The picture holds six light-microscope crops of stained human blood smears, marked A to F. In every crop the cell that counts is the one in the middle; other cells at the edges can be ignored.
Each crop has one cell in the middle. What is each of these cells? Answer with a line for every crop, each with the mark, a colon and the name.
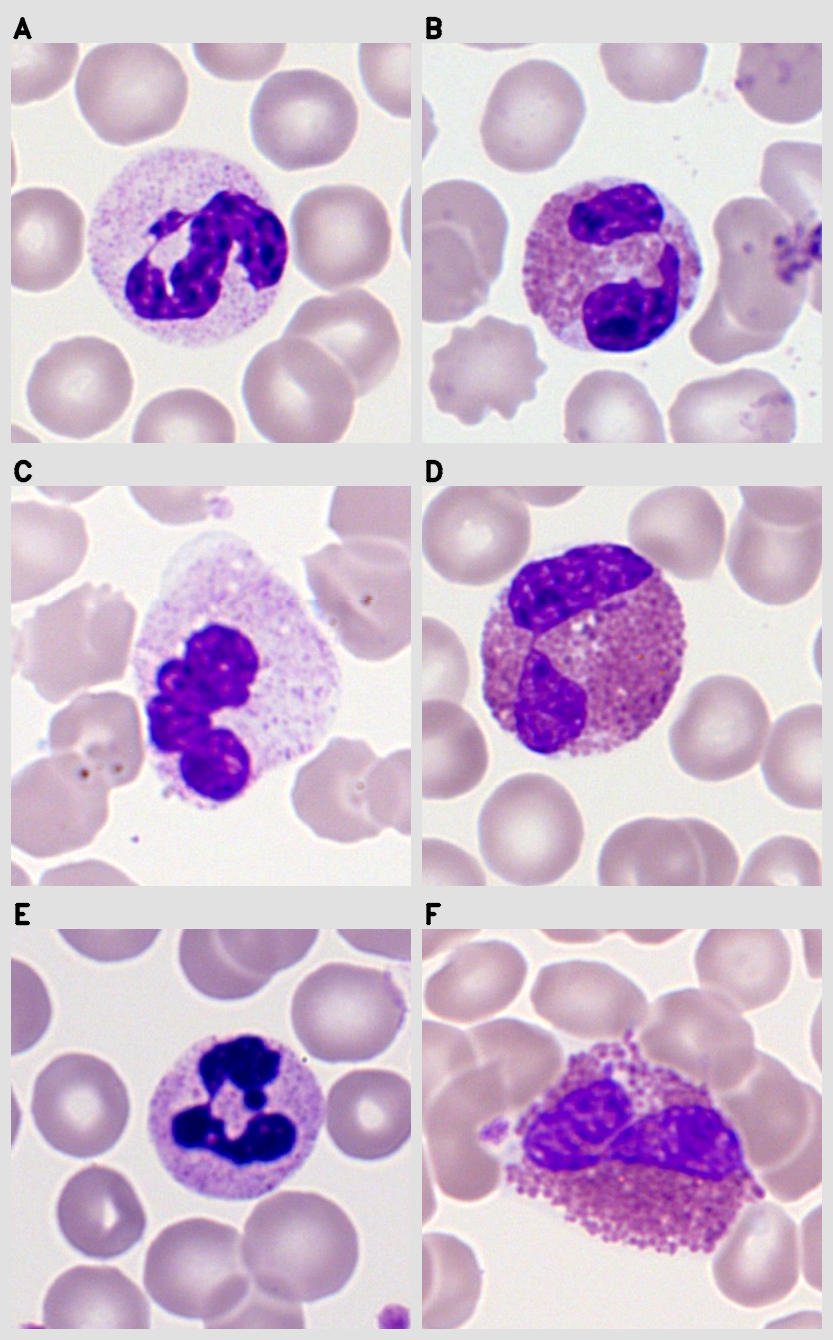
A: neutrophil
B: eosinophil
C: neutrophil
D: eosinophil
E: neutrophil
F: eosinophil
